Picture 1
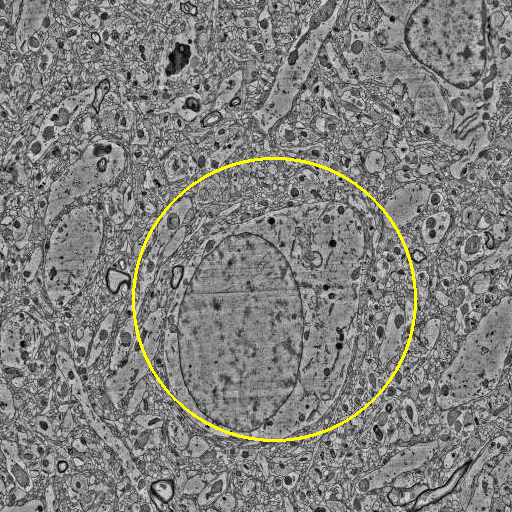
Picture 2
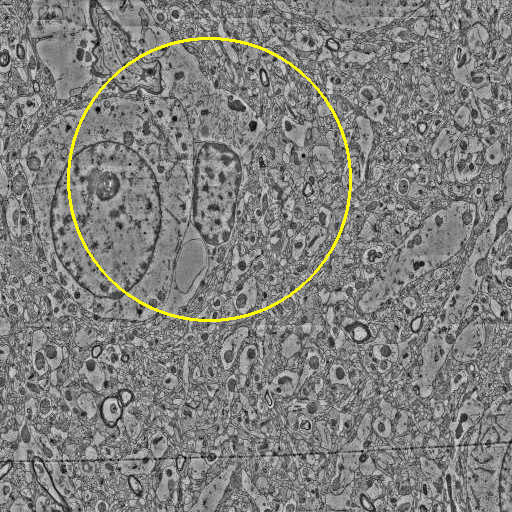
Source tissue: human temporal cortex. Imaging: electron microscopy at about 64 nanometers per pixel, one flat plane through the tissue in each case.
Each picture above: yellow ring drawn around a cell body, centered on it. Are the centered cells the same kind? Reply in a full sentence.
No, the two cells are two kinds of cell.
